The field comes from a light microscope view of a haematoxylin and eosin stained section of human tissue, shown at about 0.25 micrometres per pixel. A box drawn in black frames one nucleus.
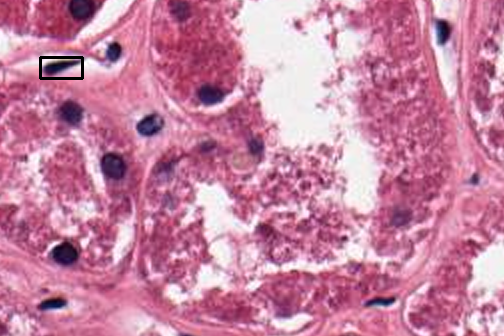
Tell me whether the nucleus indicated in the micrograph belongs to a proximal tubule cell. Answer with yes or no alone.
no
